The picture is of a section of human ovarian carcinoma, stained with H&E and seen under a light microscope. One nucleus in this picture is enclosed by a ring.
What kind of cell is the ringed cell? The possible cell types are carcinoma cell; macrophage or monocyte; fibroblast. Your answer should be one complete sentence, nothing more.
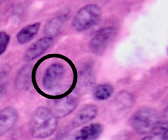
Cytologically, the ringed cell is to be regarded as a macrophage or monocyte.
